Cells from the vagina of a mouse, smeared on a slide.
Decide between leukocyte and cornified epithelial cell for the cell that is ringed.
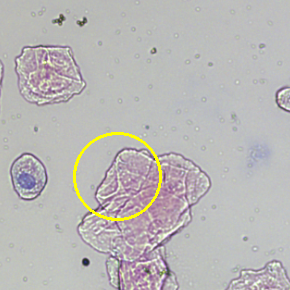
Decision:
I take the ringed cell for a cornified epithelial cell.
